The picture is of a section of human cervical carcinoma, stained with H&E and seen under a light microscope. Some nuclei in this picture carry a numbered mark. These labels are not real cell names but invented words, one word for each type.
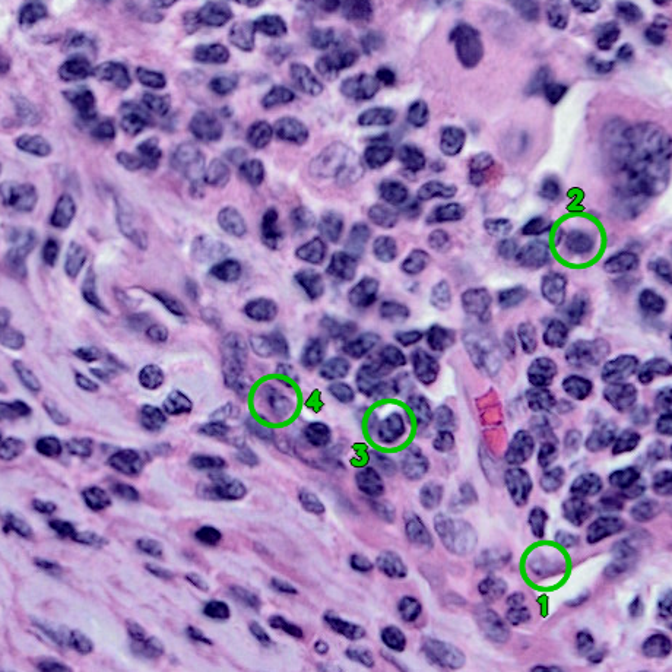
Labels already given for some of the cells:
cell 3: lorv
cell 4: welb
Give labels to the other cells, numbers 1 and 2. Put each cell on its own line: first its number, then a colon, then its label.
1: welb
2: lorv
